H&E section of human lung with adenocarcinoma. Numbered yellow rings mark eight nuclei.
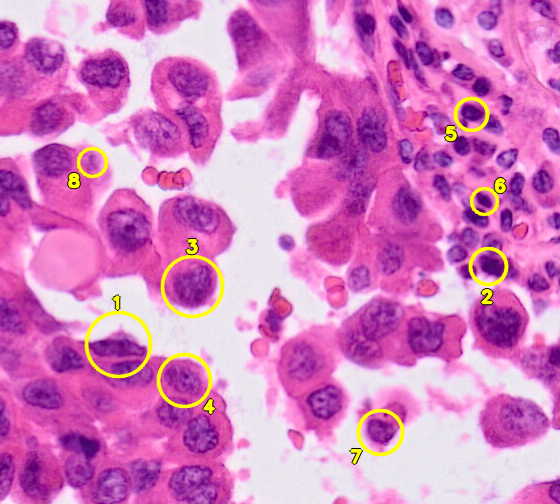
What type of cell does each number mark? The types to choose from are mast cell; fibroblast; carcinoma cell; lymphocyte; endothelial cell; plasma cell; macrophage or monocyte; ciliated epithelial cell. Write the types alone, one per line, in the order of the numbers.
carcinoma cell
lymphocyte
carcinoma cell
carcinoma cell
plasma cell
lymphocyte
macrophage or monocyte
carcinoma cell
